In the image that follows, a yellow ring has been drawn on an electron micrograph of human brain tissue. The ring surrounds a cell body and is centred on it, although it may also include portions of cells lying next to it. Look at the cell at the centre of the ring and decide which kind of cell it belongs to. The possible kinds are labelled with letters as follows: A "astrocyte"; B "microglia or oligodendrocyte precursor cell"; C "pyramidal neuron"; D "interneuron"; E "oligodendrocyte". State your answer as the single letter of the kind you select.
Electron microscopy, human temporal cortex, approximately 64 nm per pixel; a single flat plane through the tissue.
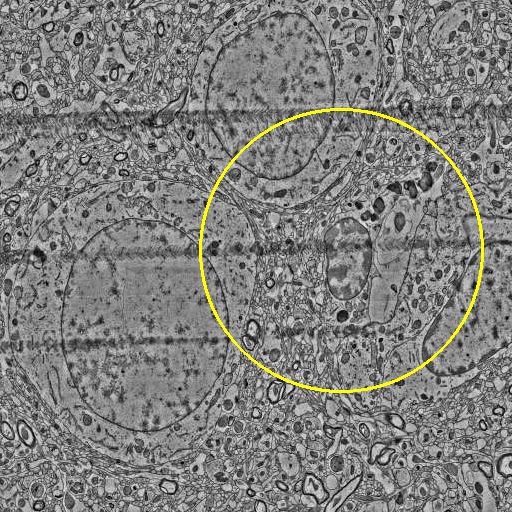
B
